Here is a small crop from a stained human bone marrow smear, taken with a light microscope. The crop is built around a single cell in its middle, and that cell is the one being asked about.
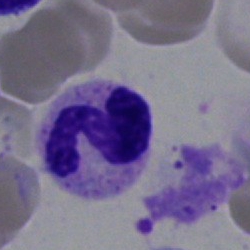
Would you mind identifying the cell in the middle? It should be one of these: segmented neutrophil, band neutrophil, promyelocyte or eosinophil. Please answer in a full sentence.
The cell in the middle of the field of view is a segmented neutrophil.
